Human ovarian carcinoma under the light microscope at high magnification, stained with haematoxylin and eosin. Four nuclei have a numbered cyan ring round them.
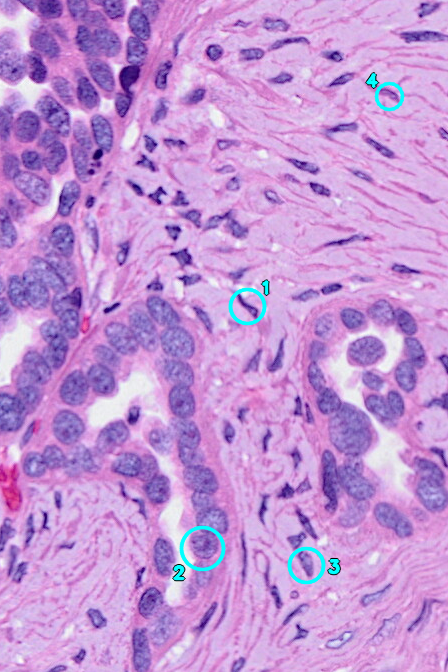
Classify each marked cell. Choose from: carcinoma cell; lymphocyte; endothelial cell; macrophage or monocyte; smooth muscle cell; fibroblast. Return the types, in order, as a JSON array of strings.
["fibroblast", "carcinoma cell", "fibroblast", "fibroblast"]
